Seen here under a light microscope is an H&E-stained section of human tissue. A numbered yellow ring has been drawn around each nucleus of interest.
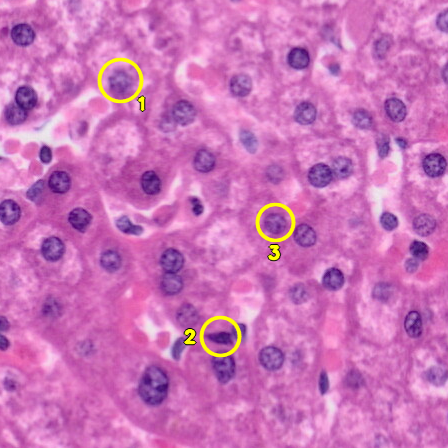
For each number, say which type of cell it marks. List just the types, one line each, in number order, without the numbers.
hepatocyte
fibroblast or stellate cell
hepatocyte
